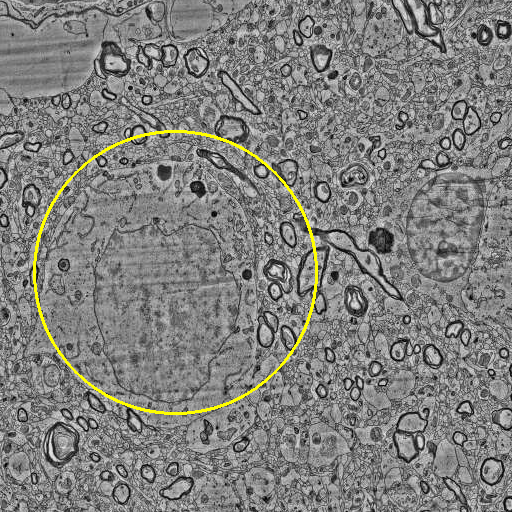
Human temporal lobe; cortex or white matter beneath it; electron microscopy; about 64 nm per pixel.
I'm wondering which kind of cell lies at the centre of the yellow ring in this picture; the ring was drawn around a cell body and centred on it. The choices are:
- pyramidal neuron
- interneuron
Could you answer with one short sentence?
At the centre of the ring lies a pyramidal neuron.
